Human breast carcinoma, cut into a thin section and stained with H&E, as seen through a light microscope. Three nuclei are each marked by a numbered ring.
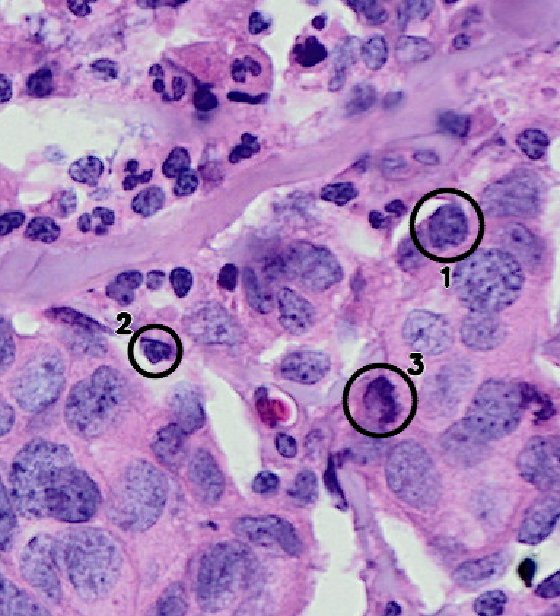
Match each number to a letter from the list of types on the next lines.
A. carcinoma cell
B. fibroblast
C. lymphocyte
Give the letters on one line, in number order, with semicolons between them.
A; C; A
